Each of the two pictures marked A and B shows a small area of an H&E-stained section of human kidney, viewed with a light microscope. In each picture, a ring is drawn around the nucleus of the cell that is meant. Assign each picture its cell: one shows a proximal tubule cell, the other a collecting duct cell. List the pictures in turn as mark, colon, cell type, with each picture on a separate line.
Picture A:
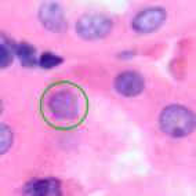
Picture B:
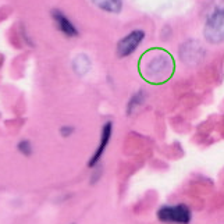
A: proximal tubule cell
B: collecting duct cell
